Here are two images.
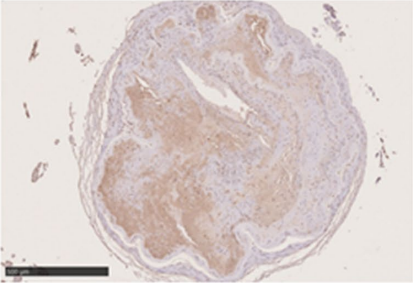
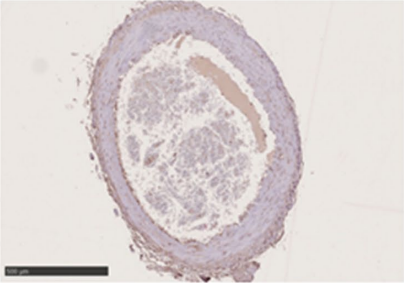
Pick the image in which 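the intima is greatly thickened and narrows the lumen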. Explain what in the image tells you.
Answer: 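Second image: a thin, even wall surrounds a wide round lumen filled with blood. First image: a thick brown-stained inner layer fills most of the vessel, leaving a slit-like lumen.
Hence: the first image.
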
